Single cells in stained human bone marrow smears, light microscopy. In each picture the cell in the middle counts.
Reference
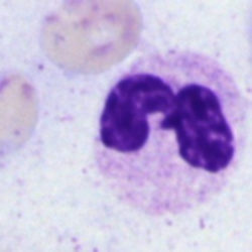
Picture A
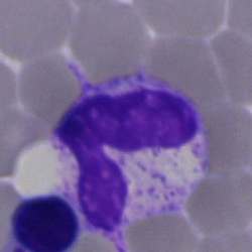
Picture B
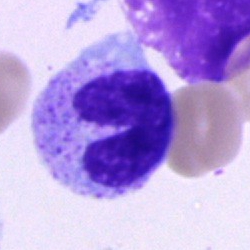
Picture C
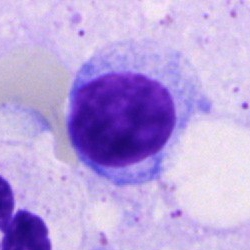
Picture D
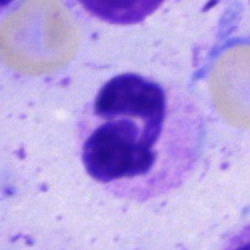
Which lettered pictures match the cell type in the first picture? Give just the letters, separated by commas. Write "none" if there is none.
A, D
